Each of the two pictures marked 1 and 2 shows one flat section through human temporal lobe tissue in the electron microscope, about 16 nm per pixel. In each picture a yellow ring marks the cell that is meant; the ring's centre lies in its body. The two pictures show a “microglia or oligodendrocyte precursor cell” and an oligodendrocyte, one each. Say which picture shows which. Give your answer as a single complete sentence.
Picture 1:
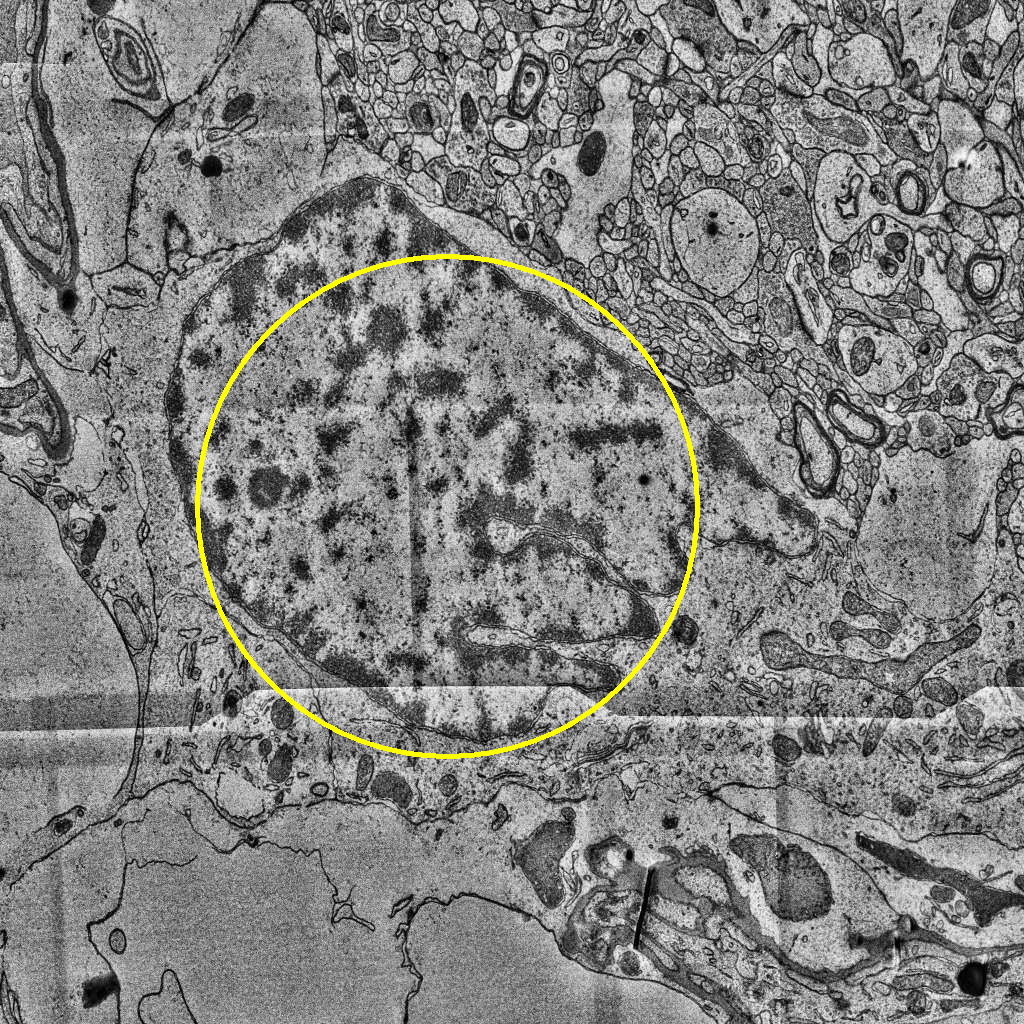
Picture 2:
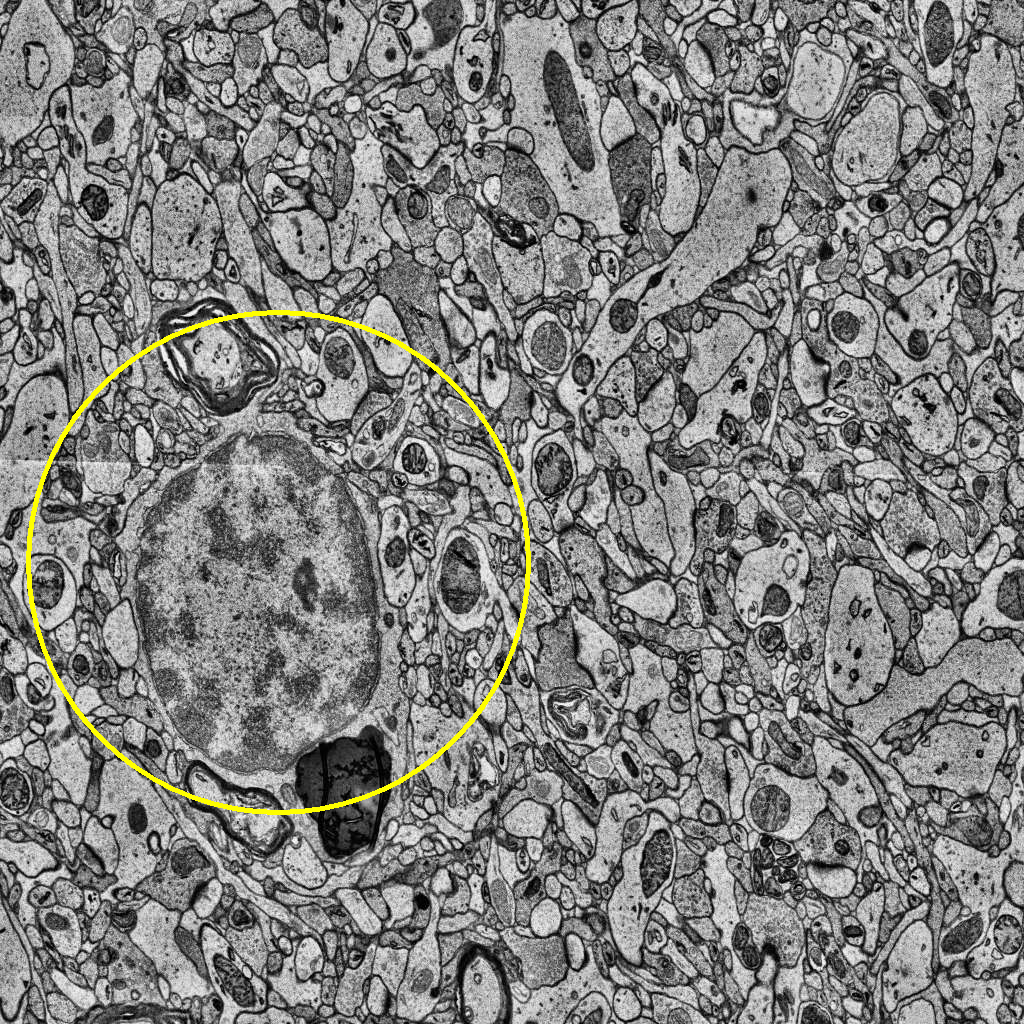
Picture 1 shows a “microglia or oligodendrocyte precursor cell” and picture 2 shows an oligodendrocyte.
